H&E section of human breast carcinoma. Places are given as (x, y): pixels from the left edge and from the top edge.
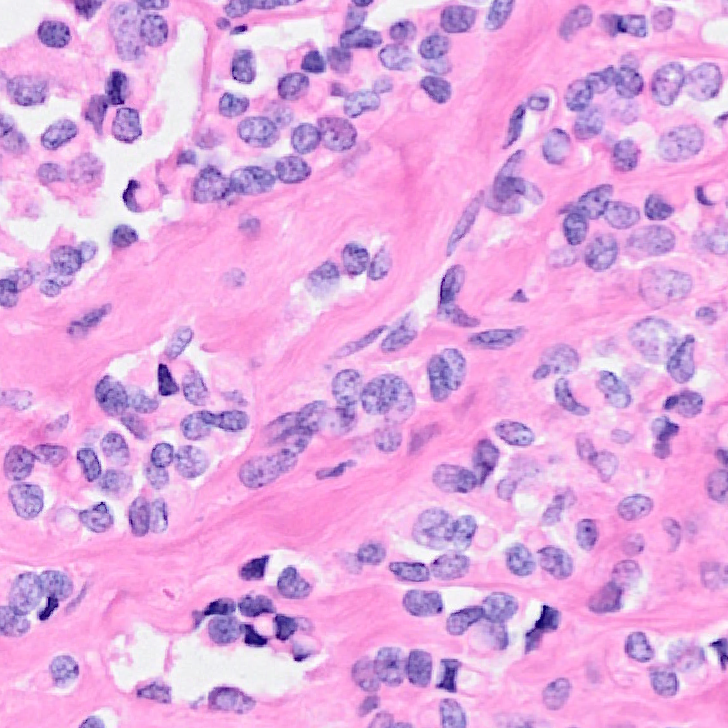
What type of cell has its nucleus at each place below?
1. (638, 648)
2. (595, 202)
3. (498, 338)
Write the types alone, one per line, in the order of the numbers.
carcinoma cell
carcinoma cell
endothelial cell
